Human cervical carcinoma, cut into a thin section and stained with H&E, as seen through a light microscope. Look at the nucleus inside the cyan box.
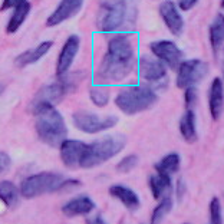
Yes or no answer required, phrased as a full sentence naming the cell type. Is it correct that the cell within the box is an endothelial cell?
Yes, it is accurate to say that the cell within the box is an endothelial cell.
